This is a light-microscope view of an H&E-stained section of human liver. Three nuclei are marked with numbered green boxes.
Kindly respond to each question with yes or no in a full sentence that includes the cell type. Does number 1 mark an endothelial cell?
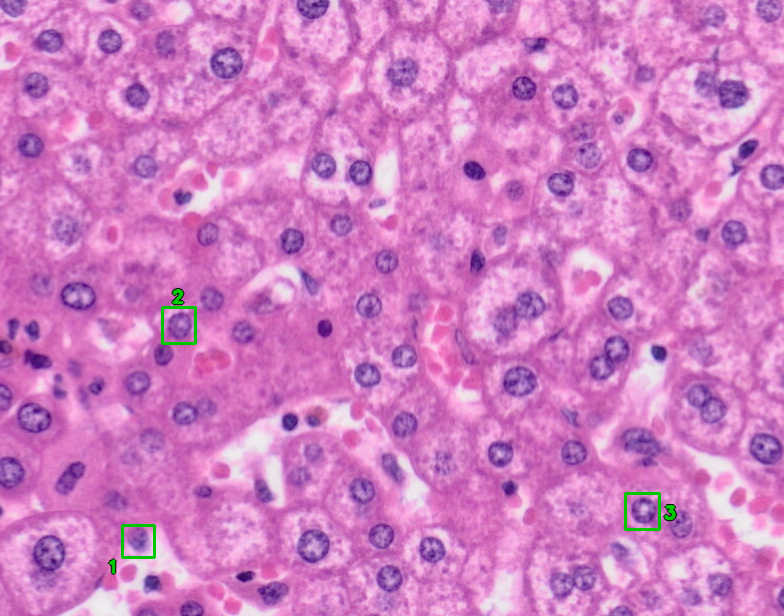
Yes, kindly take note: the cell numbered 1 is an endothelial cell.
